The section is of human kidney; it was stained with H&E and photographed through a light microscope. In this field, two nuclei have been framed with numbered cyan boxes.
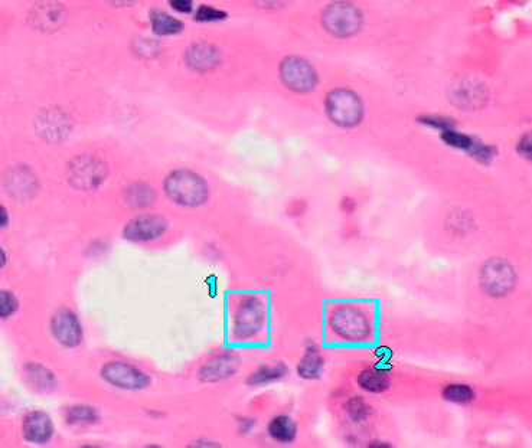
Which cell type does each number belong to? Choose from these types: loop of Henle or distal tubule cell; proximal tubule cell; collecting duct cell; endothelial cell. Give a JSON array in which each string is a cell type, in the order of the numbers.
["loop of Henle or distal tubule cell", "proximal tubule cell"]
